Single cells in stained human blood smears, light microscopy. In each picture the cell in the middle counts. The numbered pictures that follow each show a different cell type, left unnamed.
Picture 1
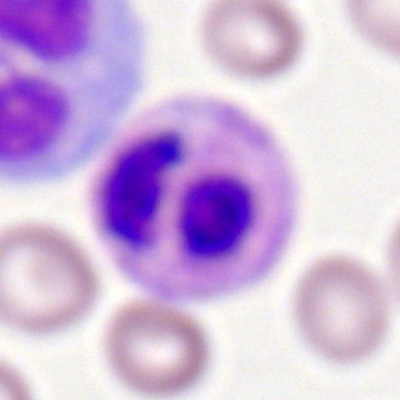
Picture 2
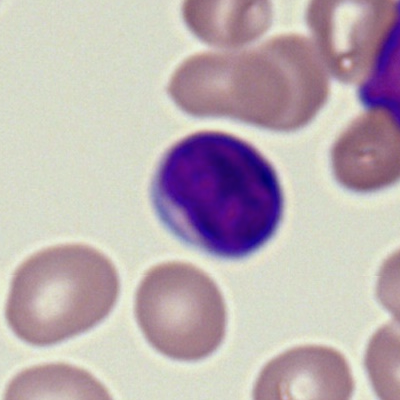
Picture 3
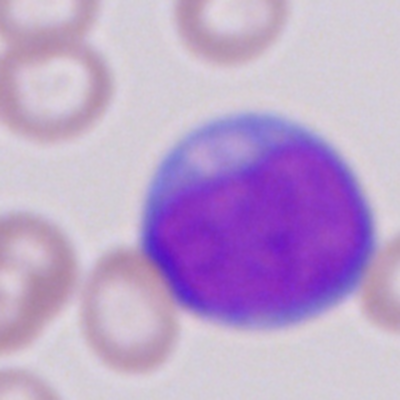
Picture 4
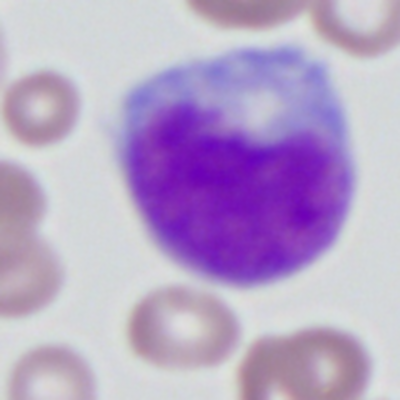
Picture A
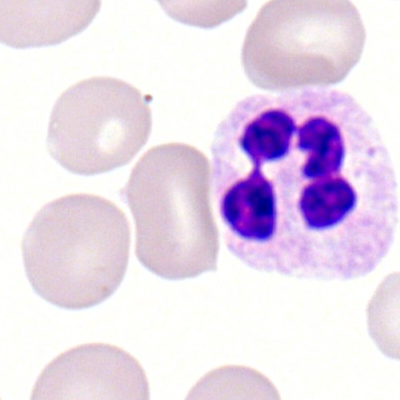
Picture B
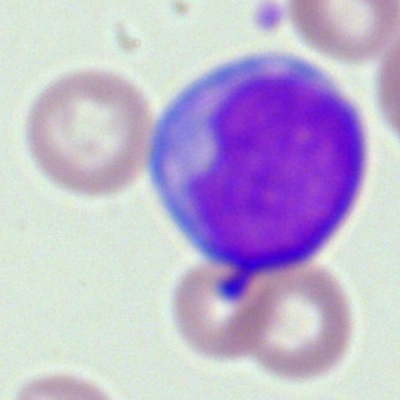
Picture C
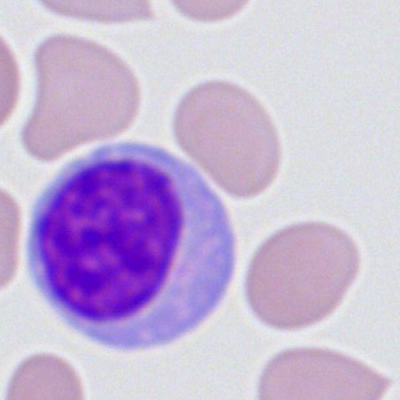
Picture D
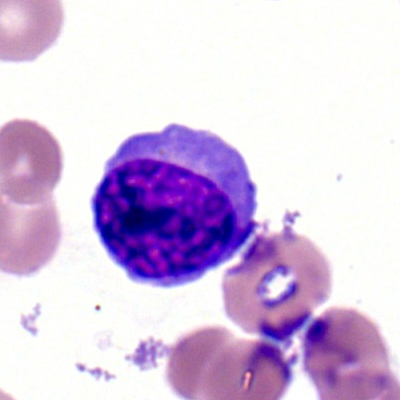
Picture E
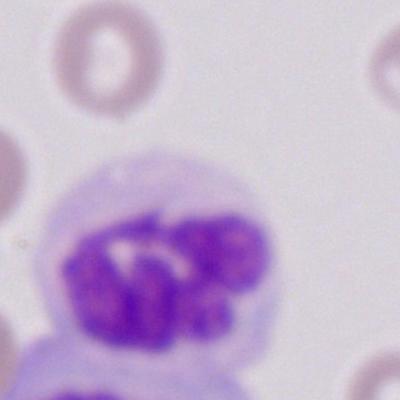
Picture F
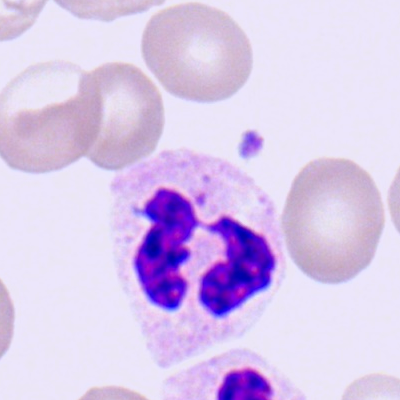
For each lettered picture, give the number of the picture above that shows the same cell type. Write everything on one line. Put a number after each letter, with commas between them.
A 1, B 3, C 2, D 2, E 1, F 1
